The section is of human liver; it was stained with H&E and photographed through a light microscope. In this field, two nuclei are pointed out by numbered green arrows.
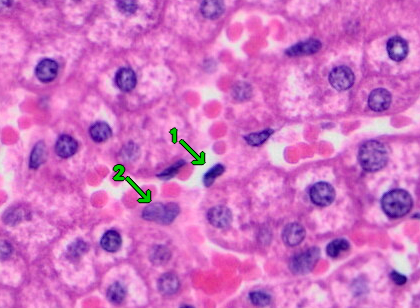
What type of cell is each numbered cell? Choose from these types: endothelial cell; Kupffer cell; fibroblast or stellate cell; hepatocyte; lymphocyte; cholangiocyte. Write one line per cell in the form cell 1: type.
cell 1: lymphocyte
cell 2: Kupffer cell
